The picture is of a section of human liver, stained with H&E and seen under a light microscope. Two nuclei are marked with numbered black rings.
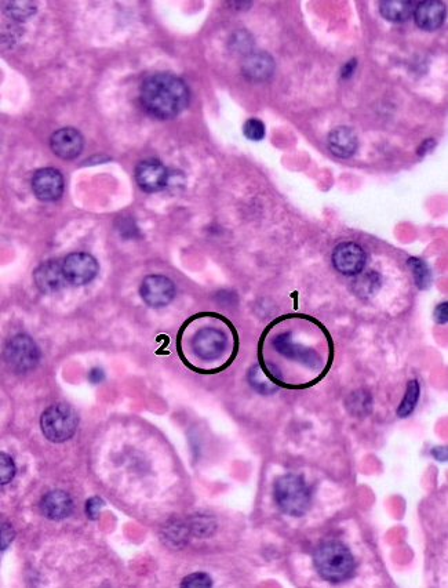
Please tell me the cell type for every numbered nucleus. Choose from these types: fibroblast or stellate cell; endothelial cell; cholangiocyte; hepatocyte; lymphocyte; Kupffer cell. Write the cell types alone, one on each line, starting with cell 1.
Kupffer cell
hepatocyte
